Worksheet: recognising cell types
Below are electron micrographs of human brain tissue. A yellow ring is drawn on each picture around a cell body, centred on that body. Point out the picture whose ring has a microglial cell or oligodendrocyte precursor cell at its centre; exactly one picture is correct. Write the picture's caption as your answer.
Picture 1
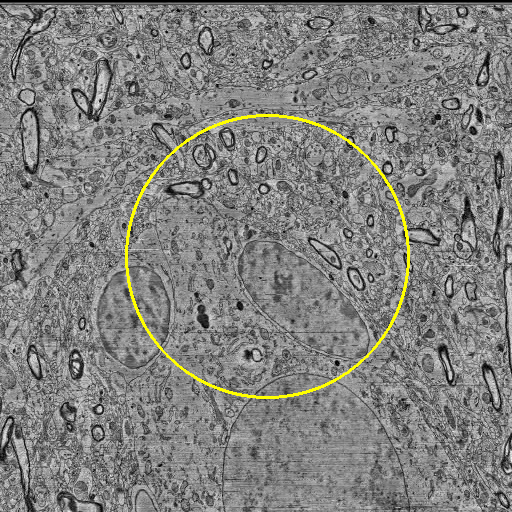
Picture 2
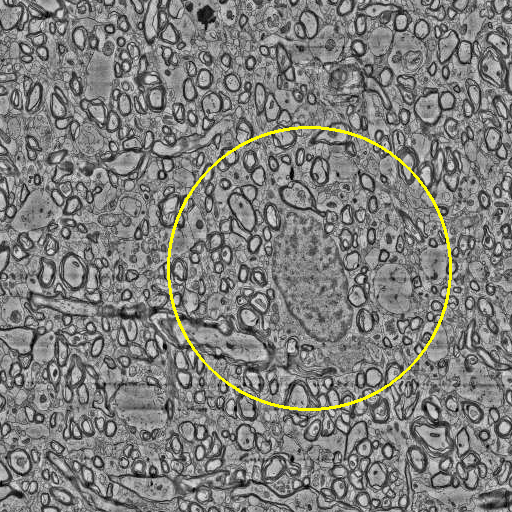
Picture 1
